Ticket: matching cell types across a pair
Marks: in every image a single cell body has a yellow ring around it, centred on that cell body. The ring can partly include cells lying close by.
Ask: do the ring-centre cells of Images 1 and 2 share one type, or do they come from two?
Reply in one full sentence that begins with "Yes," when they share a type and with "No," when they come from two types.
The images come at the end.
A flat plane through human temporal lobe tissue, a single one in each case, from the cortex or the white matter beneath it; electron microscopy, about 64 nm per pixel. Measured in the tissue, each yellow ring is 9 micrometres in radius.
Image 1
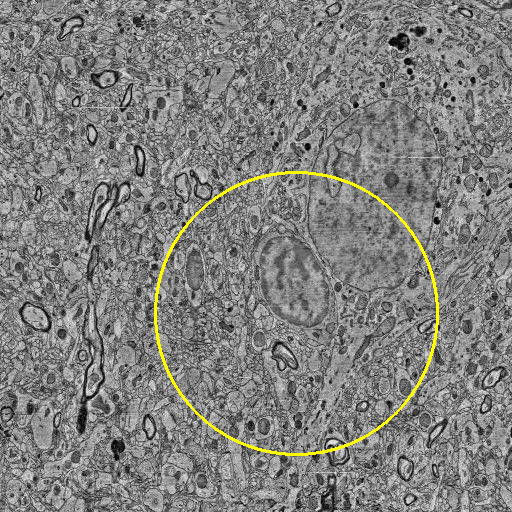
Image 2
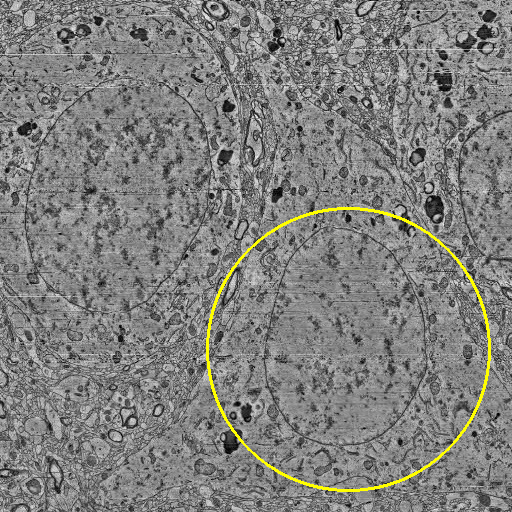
No, the cells in the centres of the rings in Image 1 and Image 2 come from two types.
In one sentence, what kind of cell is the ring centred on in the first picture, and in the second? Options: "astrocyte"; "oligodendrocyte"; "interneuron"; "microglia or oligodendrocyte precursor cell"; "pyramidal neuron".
The cell at the centre of the second ring is a pyramidal neuron; the first ring's cell is an oligodendrocyte.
